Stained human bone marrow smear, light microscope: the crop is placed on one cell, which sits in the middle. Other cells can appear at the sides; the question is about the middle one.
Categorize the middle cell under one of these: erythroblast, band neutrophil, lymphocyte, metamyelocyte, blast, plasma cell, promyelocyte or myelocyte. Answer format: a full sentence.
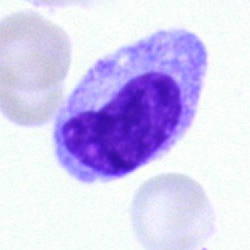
In short, the cell at the center is a metamyelocyte.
